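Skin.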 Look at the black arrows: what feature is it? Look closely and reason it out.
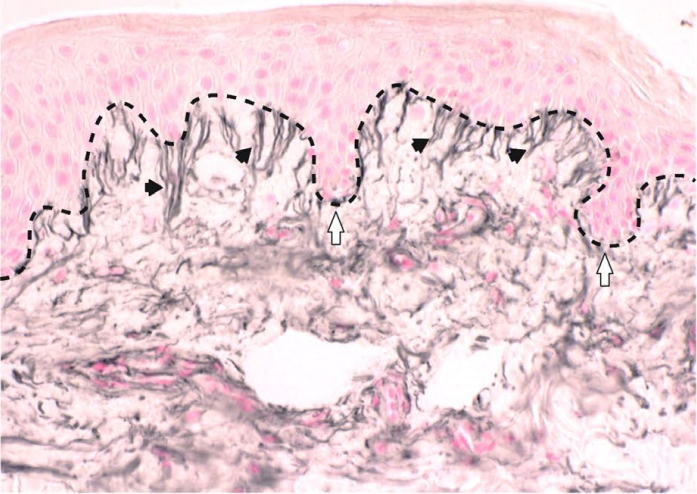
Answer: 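The fibres run perpendicular to the junction, in a candelabra-like array. They reach up to the base of the epidermis. On this evidence: microfibrils.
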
